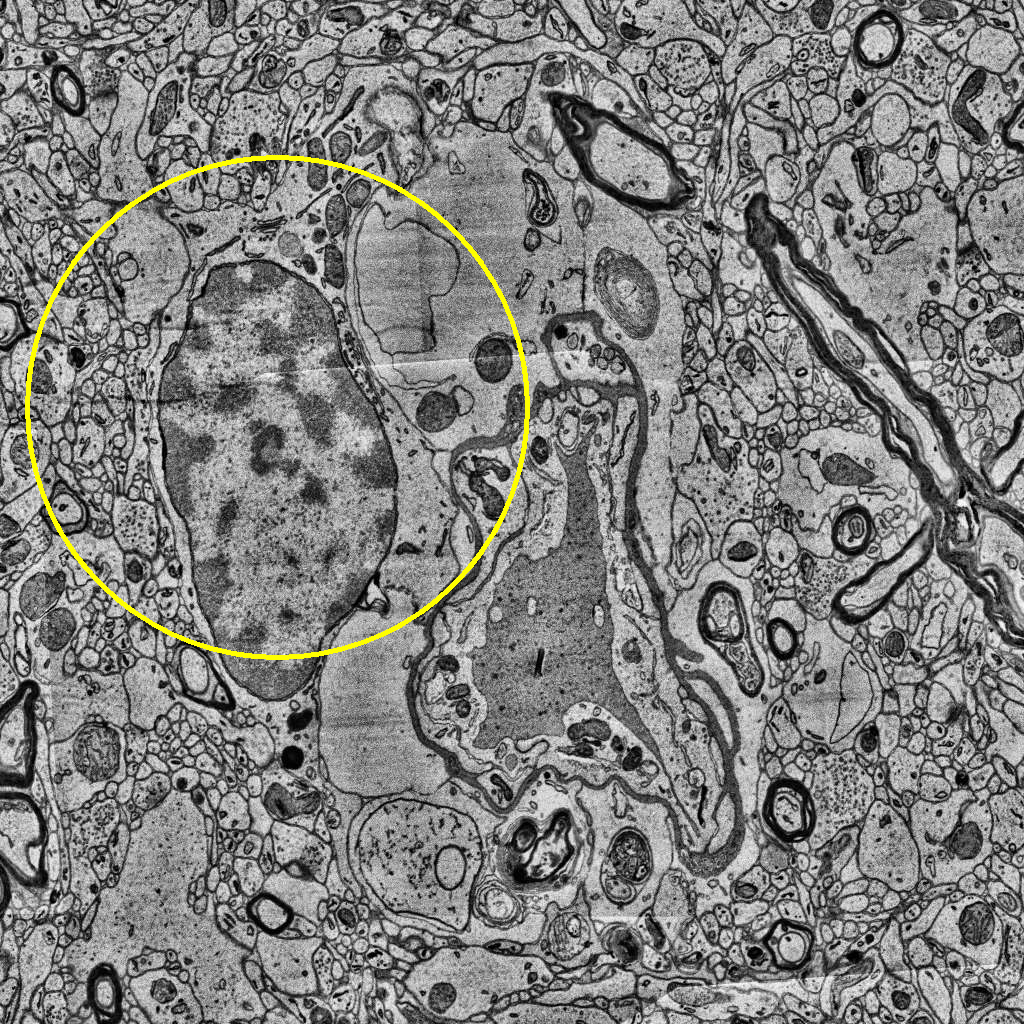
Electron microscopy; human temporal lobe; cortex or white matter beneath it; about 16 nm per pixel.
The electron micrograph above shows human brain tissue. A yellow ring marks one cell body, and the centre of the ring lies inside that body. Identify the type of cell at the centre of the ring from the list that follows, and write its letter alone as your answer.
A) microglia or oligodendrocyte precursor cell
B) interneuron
A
